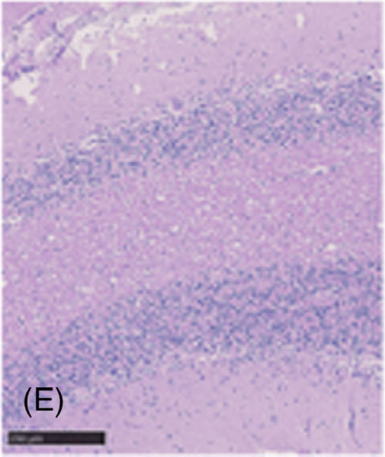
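This is cerebellar cortex cut through folia, with dense blue bands of tightly packed small granule cells beside pale pink molecular layer. The granular layer is crowded with small round dark nuclei, while the molecular layer holds only sparse cells. At the border between these two layers one would expect a row of large Purkinje cell bodies, but they are largely missing here. Some meninges with vessels show at the upper edge.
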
